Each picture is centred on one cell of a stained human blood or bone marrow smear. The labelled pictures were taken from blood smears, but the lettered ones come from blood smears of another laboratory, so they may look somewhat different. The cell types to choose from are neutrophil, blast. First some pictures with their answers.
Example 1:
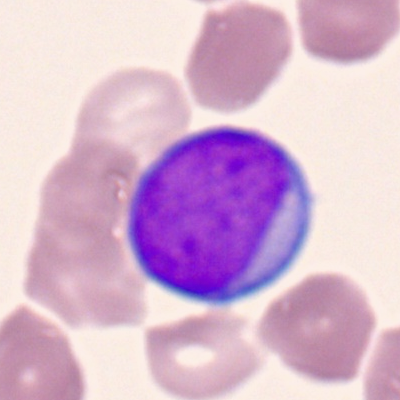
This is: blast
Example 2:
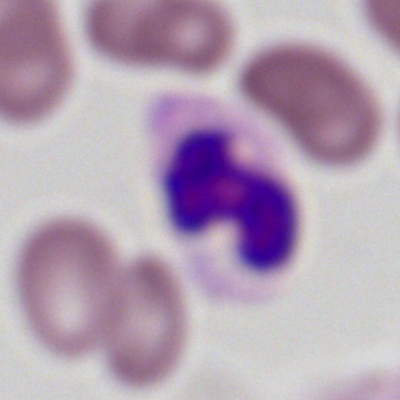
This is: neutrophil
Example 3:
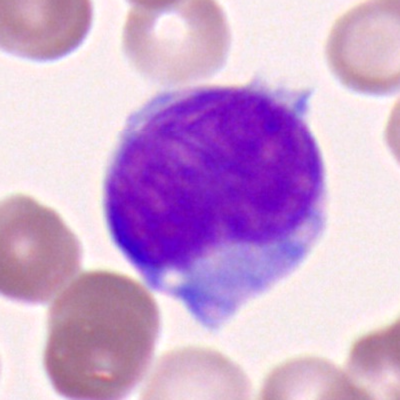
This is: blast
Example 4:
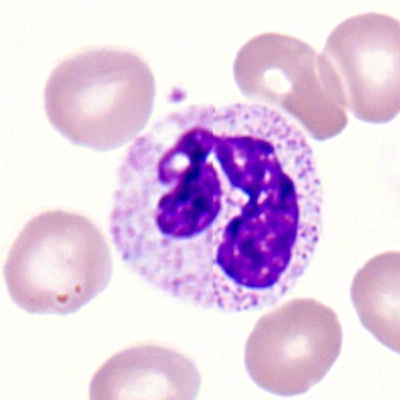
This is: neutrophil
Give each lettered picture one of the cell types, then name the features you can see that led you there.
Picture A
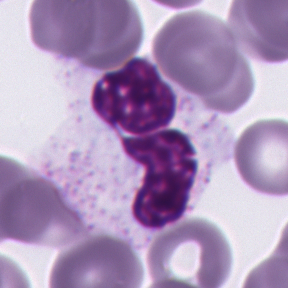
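Label: neutrophil. The nucleus is divided into two lobes, one lying above the other.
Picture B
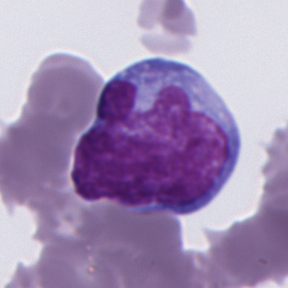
Label: blast. The nucleus fills most of the cell and sits toward the lower left.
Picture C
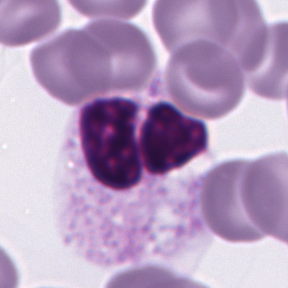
Label: neutrophil. The cytoplasm is plentiful and very pale pink.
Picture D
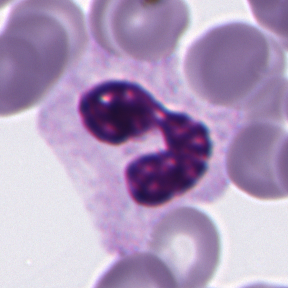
Label: neutrophil. The nucleus is divided into lobes, with a thin strand joining the upper-left lobe to the rest.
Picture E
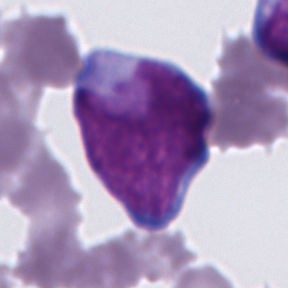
Label: blast. The cytoplasm forms only a thin rim that stains blue.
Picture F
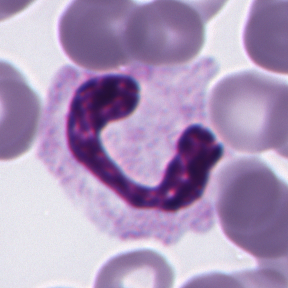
Label: neutrophil. The nucleus is a single unsegmented band curved into a C shape that opens toward the upper right.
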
